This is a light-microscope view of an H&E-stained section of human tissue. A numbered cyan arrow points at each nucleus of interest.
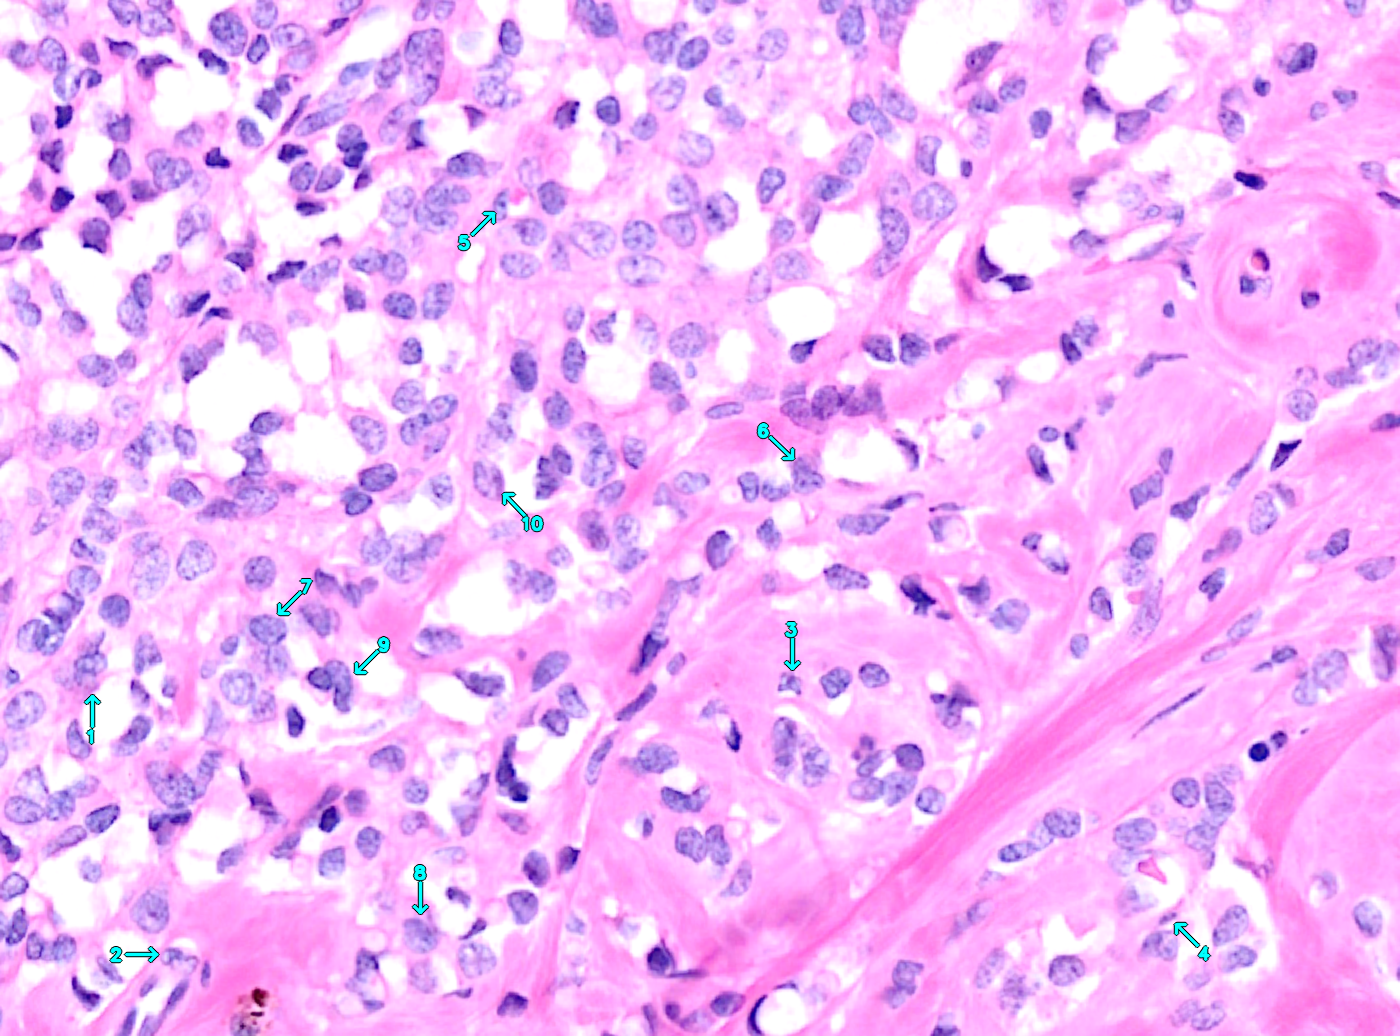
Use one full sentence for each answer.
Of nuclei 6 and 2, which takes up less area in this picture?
Number 2 is smaller, since number 6 takes up about 3 times as much area.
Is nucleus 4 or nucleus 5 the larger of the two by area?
Nucleus 5 is the larger one, covering about 1.5 times the area of nucleus 4.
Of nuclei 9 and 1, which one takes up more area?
Nucleus 9 is larger, with an area about 1.5 times that of nucleus 1.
